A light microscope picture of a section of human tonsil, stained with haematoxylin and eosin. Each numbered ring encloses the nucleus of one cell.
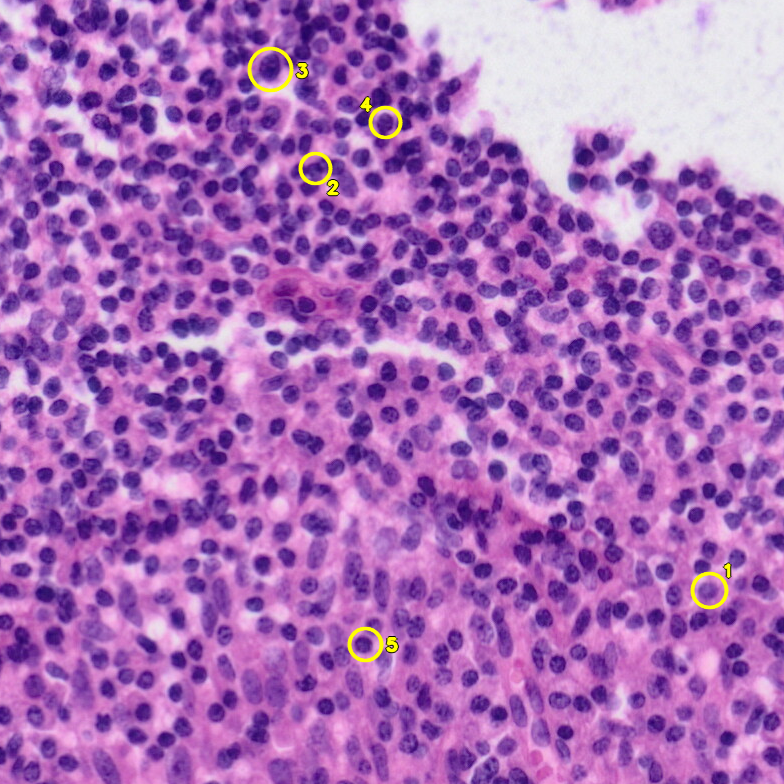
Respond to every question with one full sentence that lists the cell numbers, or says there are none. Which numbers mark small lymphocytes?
The cells marked 2 and 4 in the section are small lymphocytes.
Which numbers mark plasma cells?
In this section, the cells numbered 1 and 5 are plasma cells.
